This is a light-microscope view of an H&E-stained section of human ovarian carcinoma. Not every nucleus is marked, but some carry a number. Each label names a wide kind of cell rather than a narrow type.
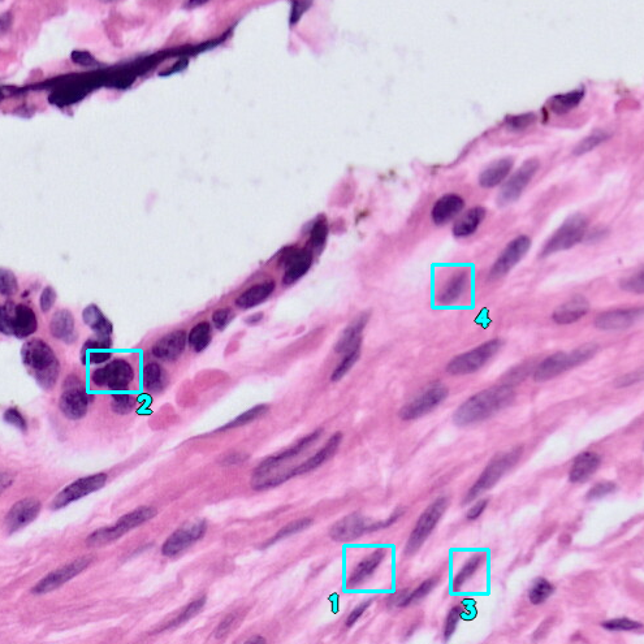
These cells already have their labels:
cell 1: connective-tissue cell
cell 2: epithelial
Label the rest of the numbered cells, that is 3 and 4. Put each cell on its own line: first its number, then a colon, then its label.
3: connective-tissue cell
4: connective-tissue cell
